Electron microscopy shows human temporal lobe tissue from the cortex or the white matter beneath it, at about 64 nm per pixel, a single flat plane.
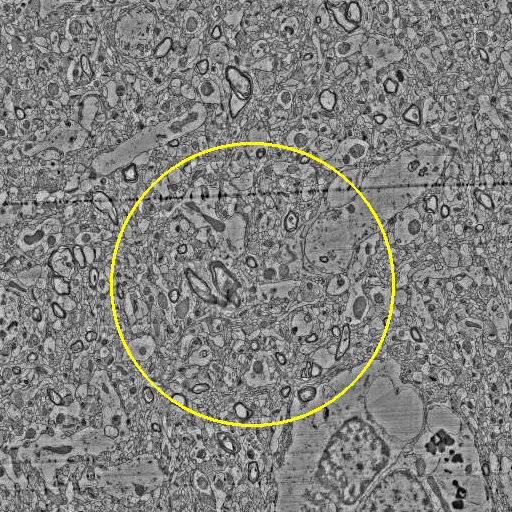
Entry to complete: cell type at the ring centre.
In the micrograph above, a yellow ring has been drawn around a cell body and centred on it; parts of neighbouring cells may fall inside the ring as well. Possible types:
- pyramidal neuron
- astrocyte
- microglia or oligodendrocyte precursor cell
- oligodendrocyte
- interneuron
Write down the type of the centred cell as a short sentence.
The ring is centred on a microglial cell or oligodendrocyte precursor cell.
